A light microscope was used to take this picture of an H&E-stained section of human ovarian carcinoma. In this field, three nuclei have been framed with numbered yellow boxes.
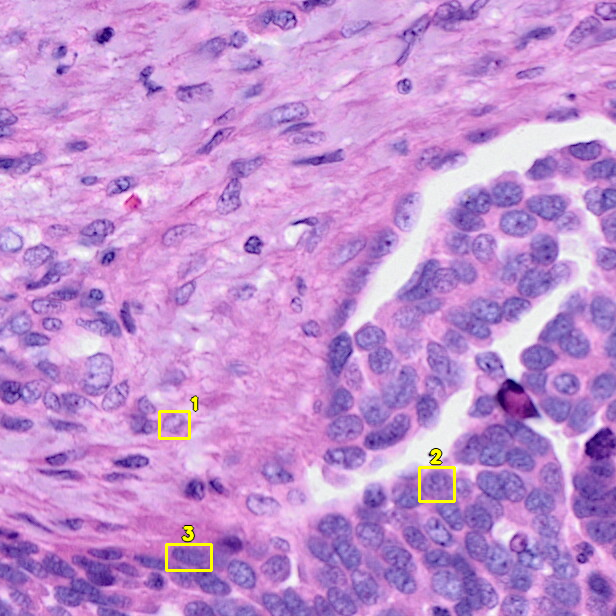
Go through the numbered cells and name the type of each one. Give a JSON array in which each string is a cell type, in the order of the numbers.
["fibroblast", "carcinoma cell", "carcinoma cell"]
